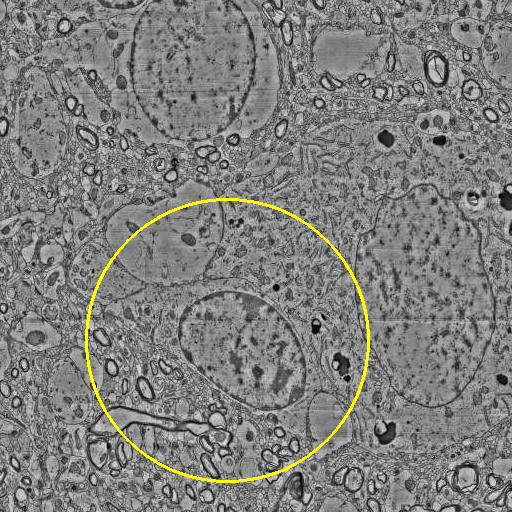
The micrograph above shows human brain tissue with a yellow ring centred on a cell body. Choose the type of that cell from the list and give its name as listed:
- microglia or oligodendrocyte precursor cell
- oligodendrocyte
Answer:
microglia or oligodendrocyte precursor cell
